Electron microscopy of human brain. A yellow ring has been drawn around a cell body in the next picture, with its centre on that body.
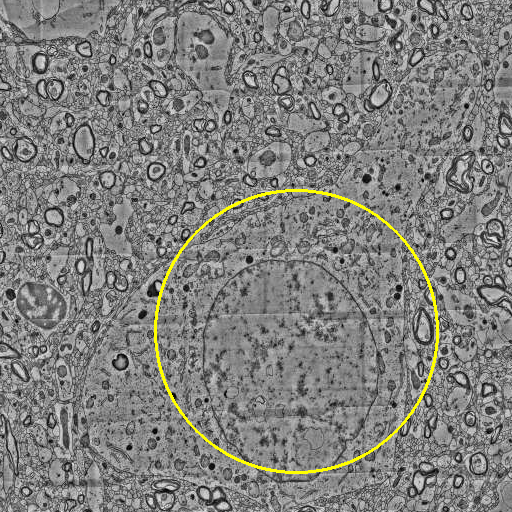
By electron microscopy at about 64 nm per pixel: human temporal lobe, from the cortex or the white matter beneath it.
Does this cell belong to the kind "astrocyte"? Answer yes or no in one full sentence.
No, the ringed cell in this picture, sitting at the ring's centre, is of another kind.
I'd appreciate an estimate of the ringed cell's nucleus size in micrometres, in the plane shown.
About 14 micrometres by about 12 micrometres in this plane.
